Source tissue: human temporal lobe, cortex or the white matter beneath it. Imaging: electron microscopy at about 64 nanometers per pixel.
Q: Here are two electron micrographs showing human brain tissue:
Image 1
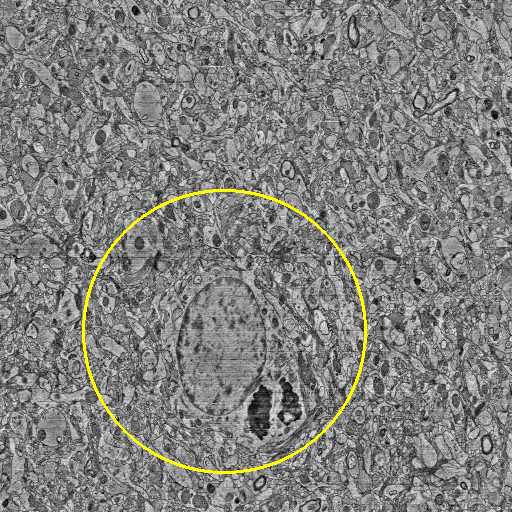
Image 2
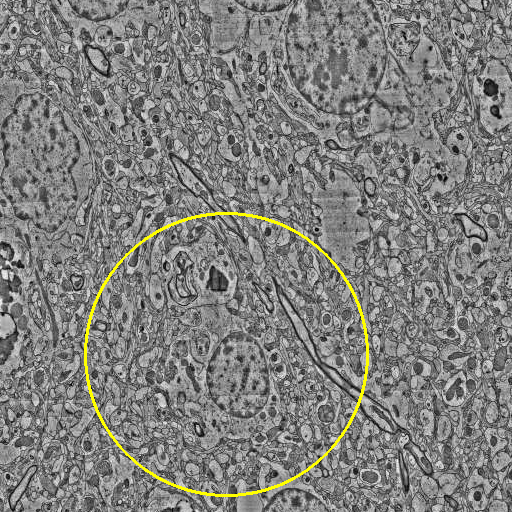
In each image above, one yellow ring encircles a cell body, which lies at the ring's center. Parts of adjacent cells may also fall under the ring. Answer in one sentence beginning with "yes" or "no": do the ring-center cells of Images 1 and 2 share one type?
Yes, in Images 1 and 2, the ring-center cells are both of one type.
